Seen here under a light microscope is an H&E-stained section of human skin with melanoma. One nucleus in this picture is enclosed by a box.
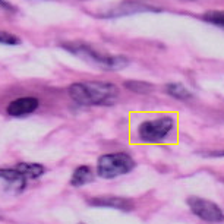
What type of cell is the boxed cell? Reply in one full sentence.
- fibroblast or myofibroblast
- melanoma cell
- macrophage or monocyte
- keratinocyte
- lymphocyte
What the boxed cell represents is a lymphocyte.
